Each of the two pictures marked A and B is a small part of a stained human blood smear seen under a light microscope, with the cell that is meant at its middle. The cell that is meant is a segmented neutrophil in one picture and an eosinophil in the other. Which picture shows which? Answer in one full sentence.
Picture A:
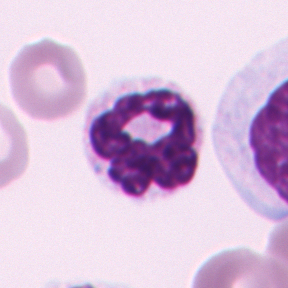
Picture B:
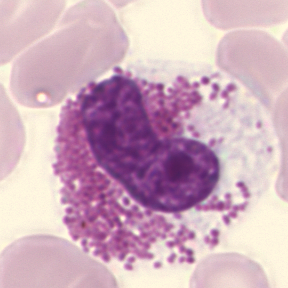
The cell in picture A is a segmented neutrophil, and the one in picture B is an eosinophil.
